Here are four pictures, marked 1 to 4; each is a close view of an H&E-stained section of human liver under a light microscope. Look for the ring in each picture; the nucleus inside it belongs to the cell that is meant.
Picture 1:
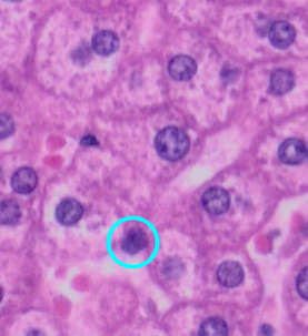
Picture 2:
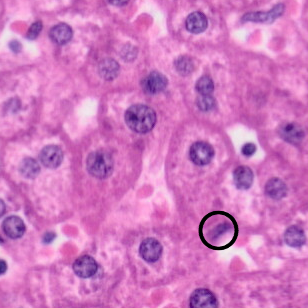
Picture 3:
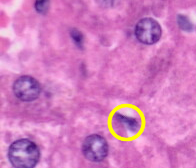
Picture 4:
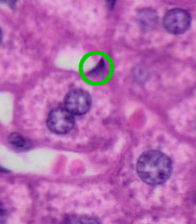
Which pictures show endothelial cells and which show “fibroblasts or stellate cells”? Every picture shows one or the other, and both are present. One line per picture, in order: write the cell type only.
endothelial cell
fibroblast or stellate cell
endothelial cell
endothelial cell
